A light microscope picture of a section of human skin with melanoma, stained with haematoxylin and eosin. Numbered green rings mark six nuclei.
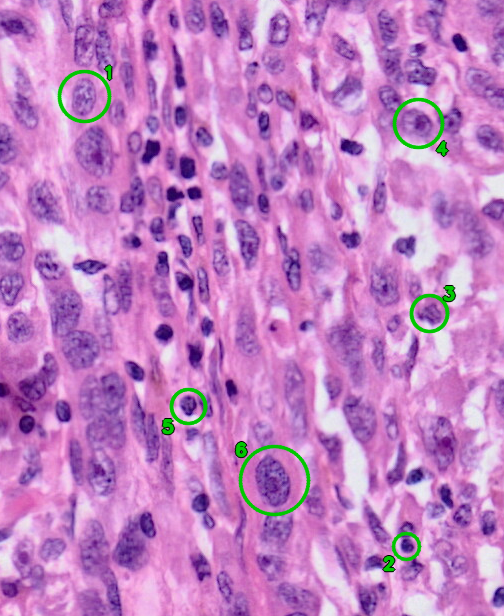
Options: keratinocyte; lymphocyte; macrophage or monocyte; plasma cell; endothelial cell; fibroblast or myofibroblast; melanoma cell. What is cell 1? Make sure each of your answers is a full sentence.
Among the marked nuclei, number 1 belongs to a melanoma cell.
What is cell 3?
The one numbered 3 among the marked cells is a melanoma cell.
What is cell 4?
The marked cell bearing number 4 is a melanoma cell.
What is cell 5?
The nucleus labelled 5 belongs to a lymphocyte.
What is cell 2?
In this section, the cell numbered 2 is a lymphocyte.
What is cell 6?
It is as a melanoma cell that the cell numbered 6 is identified.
